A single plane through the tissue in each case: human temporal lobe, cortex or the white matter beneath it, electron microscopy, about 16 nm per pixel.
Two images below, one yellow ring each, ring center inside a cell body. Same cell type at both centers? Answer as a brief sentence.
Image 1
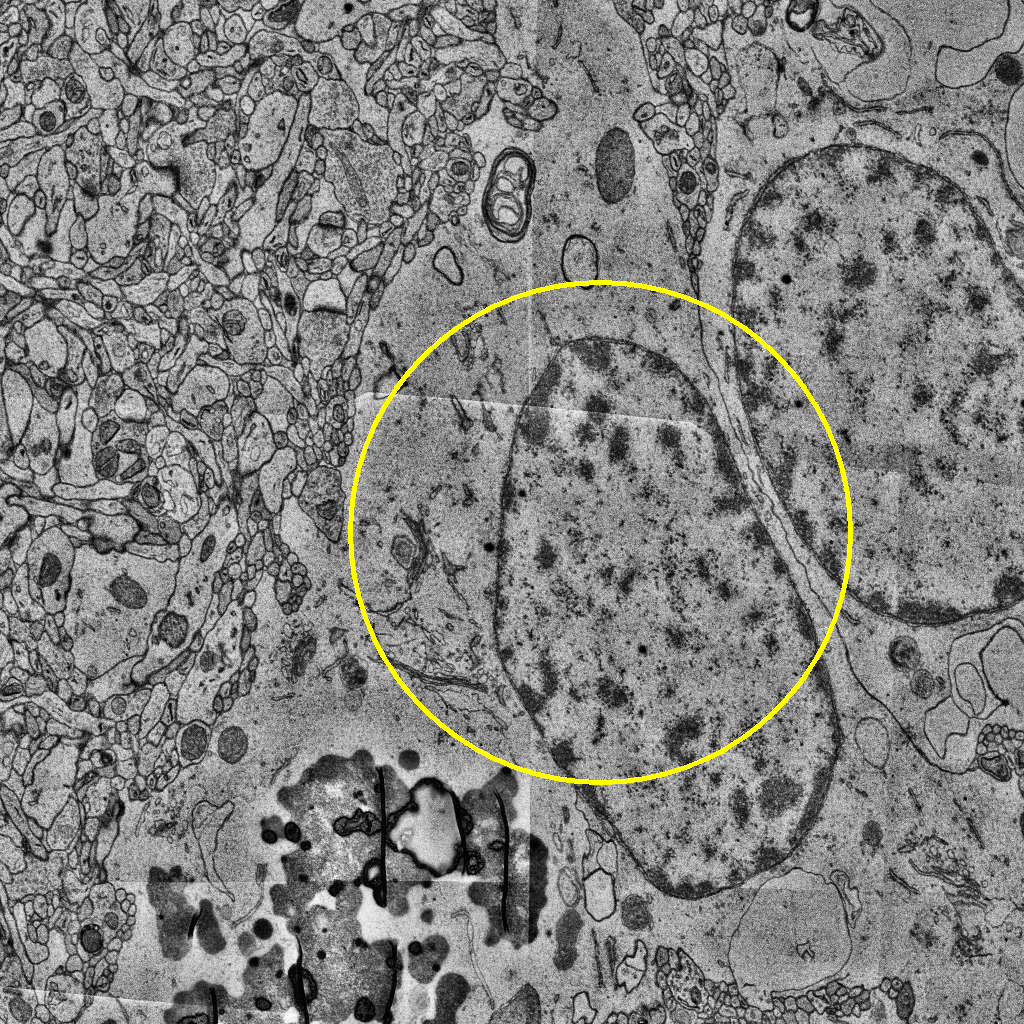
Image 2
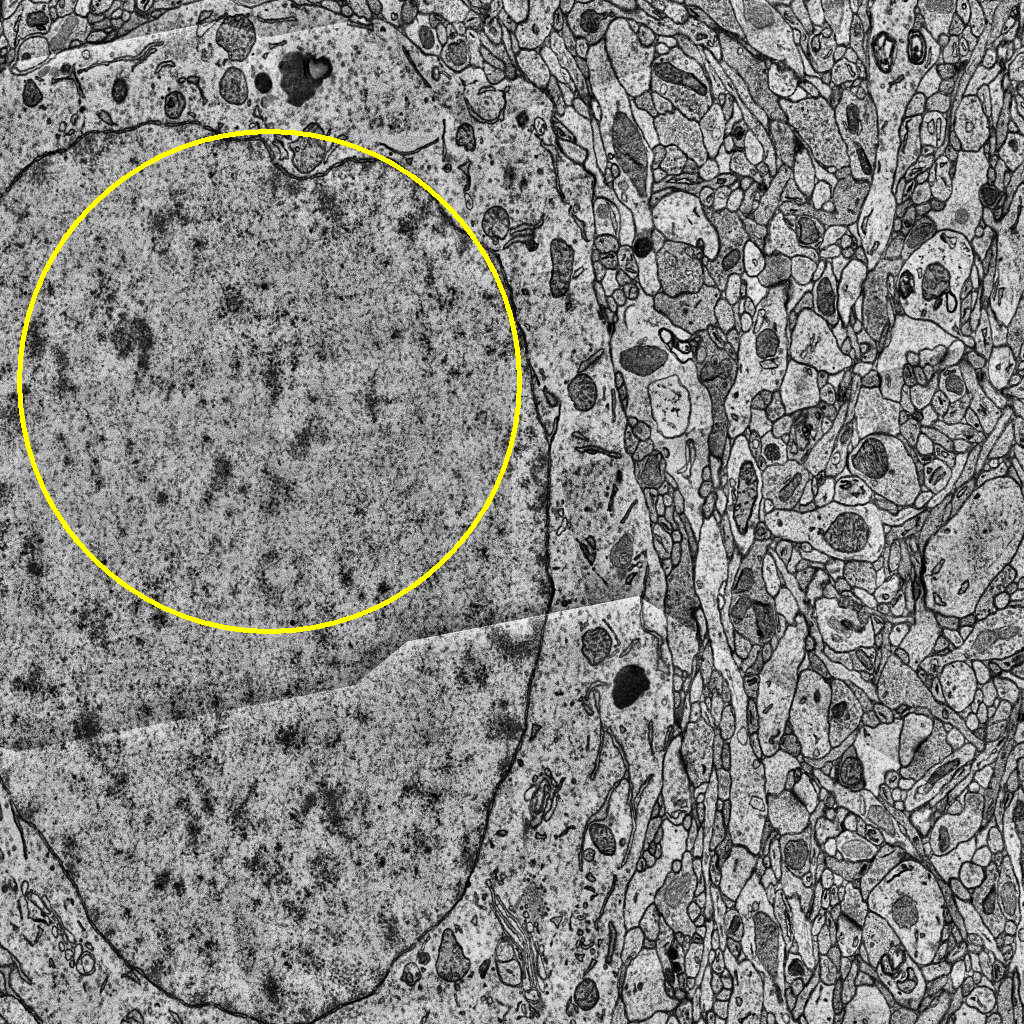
No, the cells are of two separate types.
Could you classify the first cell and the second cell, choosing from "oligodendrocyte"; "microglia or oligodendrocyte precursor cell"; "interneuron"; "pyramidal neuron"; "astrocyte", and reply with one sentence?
The second picture holds a pyramidal neuron in its ring, and the first holds an astrocyte.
